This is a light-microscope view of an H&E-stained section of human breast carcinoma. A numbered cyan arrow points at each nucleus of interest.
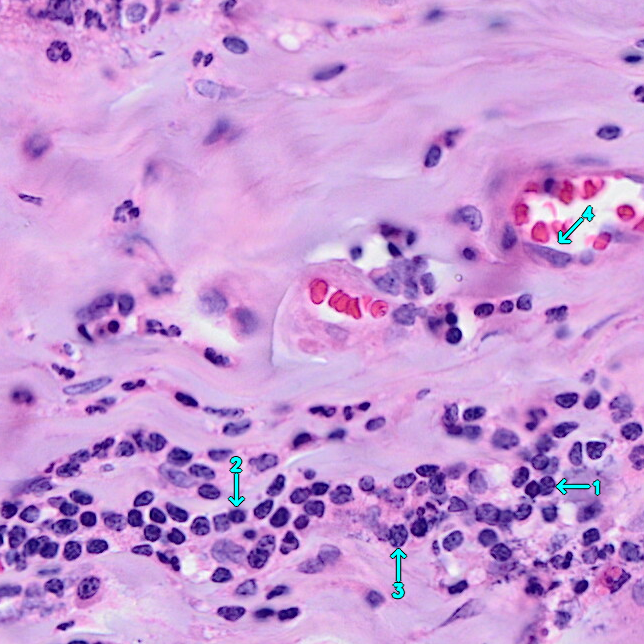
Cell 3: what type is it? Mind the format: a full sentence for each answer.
Recognised here as a lymphocyte is the cell numbered 3.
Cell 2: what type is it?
Identified as a lymphocyte is the cell bearing the number 2.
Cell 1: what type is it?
The numbered cell 1 in this field is a lymphocyte.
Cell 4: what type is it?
The mark numbered 4 indicates the nucleus of an endothelial cell.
